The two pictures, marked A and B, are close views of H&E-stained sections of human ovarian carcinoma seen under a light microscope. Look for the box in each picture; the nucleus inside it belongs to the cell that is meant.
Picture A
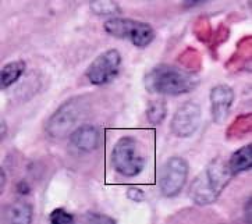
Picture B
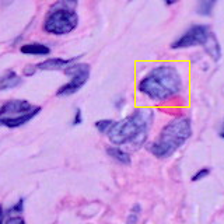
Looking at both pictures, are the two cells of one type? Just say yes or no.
no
